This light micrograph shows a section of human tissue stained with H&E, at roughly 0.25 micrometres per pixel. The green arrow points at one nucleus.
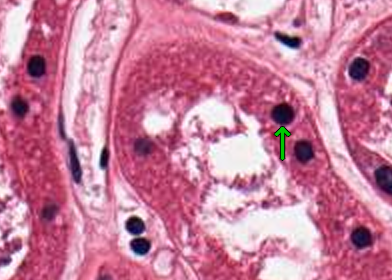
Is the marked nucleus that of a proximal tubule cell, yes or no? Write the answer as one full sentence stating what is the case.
Yes, the cell containing the marked nucleus is a proximal tubule cell.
